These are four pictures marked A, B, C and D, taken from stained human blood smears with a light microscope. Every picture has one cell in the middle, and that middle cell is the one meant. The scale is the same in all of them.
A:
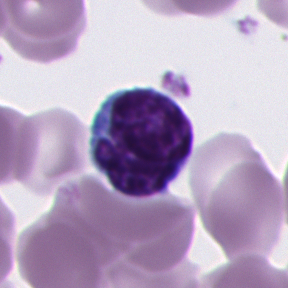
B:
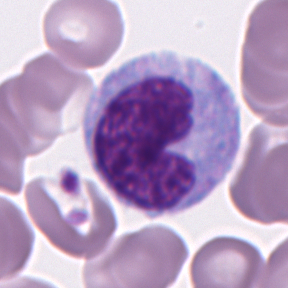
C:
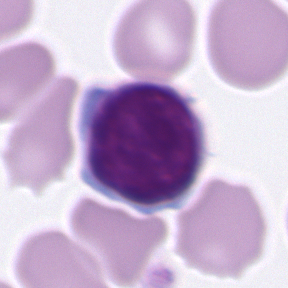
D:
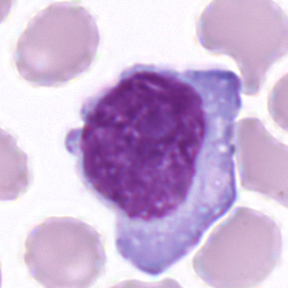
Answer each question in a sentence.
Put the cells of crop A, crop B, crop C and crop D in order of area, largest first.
From the largest down, the order is D, B, C, A.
